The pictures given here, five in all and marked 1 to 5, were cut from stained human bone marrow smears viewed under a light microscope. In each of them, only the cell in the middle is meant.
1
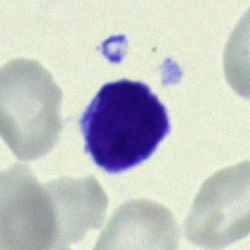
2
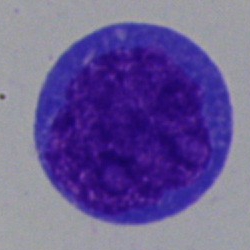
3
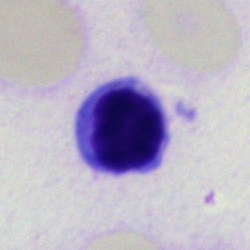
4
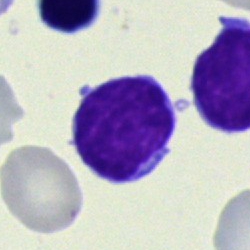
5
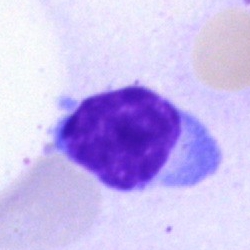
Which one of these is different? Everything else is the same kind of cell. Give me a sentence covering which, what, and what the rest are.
Whereas the other crops all show lymphocytes, crop 2 shows a blast.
